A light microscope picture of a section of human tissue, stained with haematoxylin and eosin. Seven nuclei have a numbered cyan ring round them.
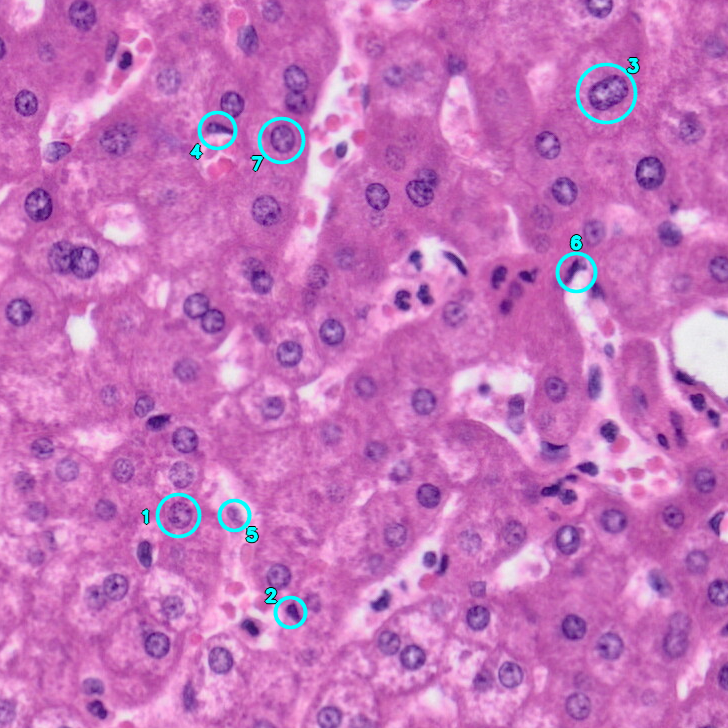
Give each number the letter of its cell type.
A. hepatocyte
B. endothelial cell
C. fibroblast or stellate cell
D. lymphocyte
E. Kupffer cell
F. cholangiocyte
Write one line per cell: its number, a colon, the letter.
1: A
2: C
3: A
4: C
5: E
6: C
7: A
